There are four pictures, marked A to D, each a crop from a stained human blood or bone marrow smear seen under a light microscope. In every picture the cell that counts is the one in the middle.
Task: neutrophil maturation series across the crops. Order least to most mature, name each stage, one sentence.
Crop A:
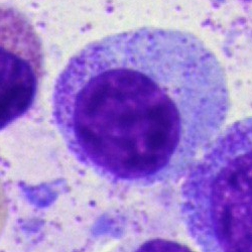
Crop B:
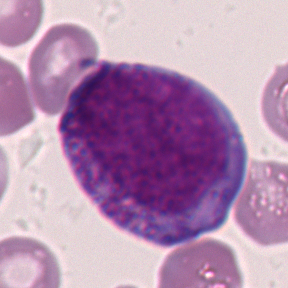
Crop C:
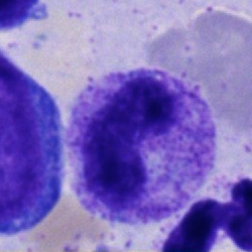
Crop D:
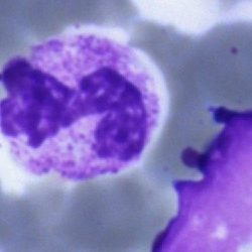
Beginning with the least mature, the order is crop B (a promyelocyte), crop A (a myelocyte), crop C (a metamyelocyte) and crop D (a segmented neutrophil).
